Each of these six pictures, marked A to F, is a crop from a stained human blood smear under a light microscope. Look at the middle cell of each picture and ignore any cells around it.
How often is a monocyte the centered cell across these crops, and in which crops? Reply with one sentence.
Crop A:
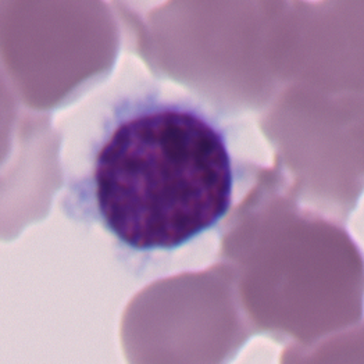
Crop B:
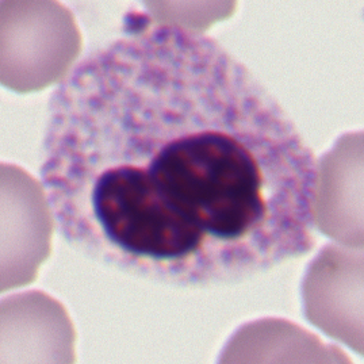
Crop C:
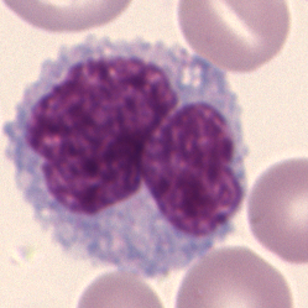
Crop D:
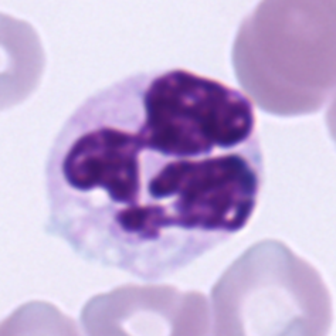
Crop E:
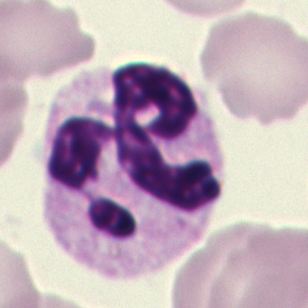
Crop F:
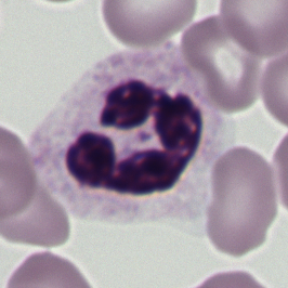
Among these crops, a monocyte is the central cell of only one, crop C.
